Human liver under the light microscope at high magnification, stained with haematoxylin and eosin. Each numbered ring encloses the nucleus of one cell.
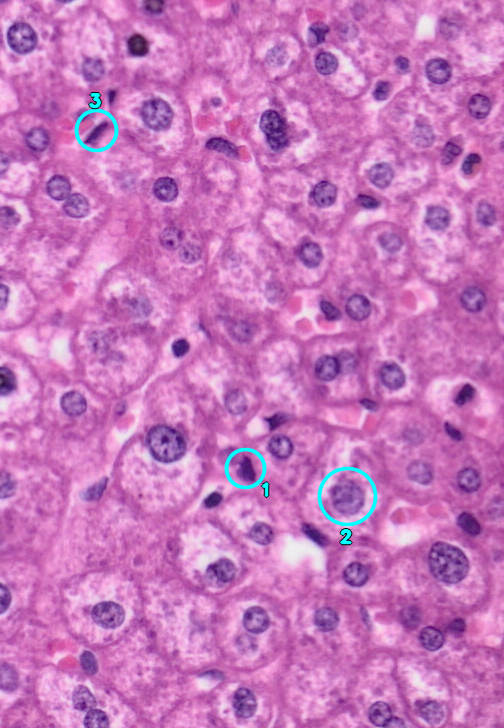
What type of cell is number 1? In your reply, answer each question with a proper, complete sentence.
Cell number 1 in this section is a fibroblast or stellate cell.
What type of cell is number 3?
Cell 3 in the field is an endothelial cell.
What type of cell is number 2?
Cell 2 in the field of view is a hepatocyte.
